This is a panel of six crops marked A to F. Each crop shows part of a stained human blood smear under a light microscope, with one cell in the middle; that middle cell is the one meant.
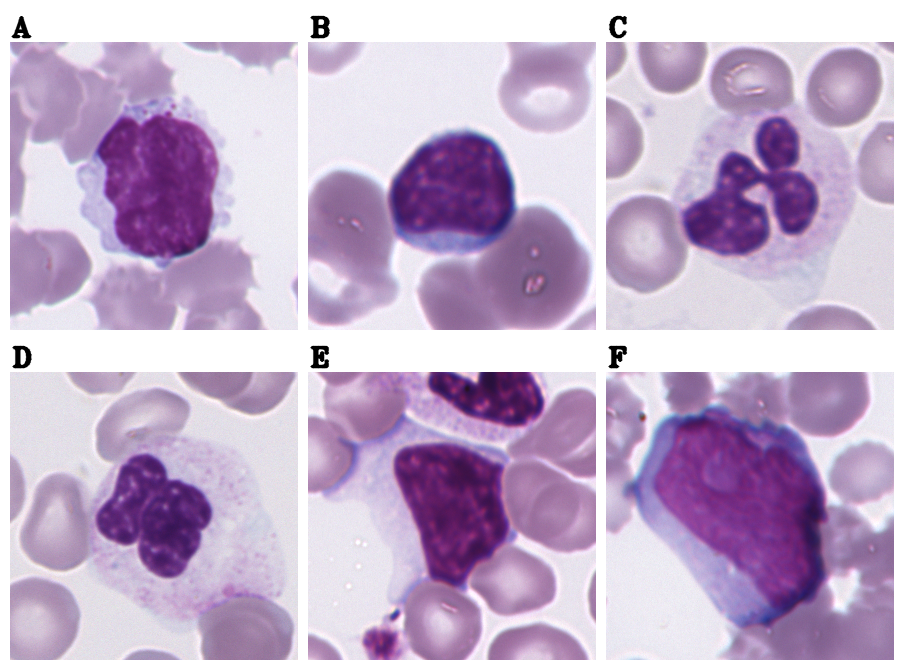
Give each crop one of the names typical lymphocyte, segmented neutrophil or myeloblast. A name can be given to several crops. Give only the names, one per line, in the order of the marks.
typical lymphocyte
typical lymphocyte
segmented neutrophil
segmented neutrophil
typical lymphocyte
myeloblast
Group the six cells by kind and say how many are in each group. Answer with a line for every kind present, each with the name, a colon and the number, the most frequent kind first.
typical lymphocyte: 3
segmented neutrophil: 2
myeloblast: 1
